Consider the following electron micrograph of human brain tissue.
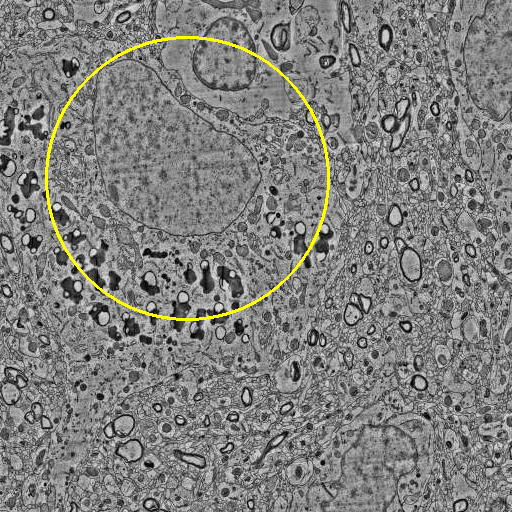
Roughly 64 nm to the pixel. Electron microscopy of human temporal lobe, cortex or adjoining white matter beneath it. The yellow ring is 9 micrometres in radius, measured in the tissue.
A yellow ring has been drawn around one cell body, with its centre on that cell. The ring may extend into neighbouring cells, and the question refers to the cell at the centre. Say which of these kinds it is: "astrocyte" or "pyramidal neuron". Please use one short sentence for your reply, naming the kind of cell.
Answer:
The centre of the ring falls on a pyramidal neuron.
